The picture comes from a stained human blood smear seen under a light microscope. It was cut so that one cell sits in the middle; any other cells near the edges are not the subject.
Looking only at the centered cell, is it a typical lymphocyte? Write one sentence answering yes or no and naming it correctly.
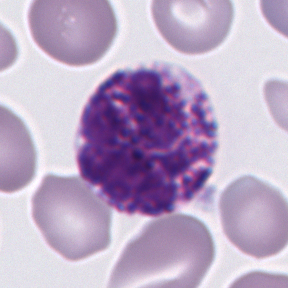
No; rather than a typical lymphocyte, the cell at the center is a basophil.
